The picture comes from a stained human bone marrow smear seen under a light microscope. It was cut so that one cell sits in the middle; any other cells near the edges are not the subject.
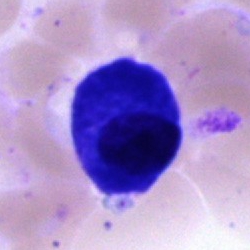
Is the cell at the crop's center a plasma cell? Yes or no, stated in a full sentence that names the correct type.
Yes, the cell in the center of this crop is a plasma cell.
